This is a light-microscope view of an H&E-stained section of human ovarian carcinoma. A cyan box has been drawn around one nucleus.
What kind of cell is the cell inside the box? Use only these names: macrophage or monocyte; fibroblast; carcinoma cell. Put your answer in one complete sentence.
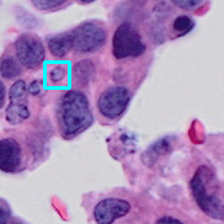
As for its identity, the cell inside the box is a macrophage or monocyte.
